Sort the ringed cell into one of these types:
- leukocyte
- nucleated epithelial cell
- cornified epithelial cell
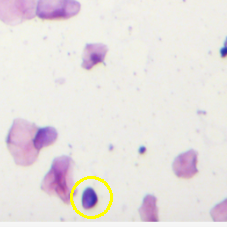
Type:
nucleated epithelial cell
